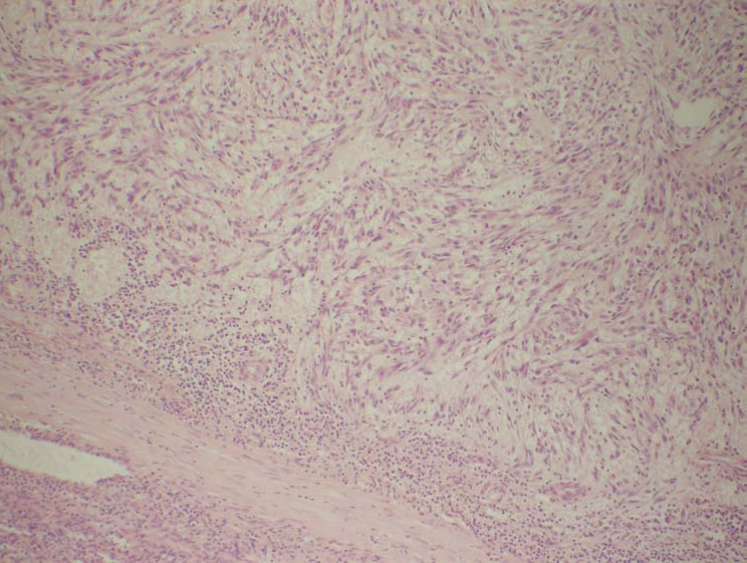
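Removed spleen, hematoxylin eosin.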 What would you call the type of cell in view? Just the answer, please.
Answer: spindle cells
